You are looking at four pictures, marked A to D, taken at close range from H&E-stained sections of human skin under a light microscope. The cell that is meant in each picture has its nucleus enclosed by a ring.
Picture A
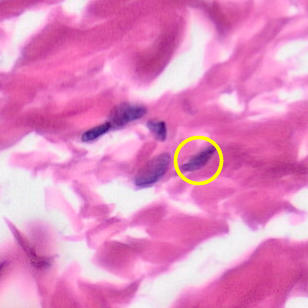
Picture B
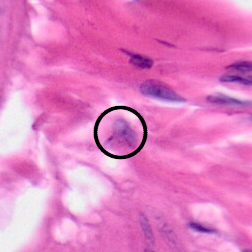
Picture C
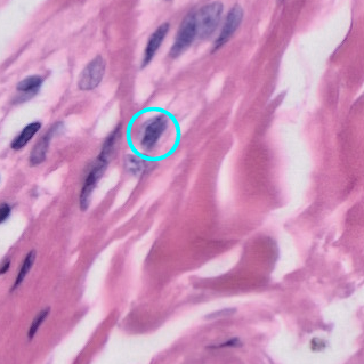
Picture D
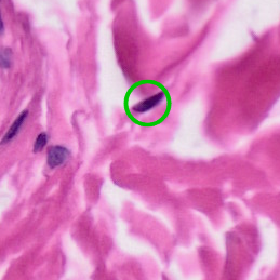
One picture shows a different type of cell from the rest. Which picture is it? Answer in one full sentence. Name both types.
Picture C differs, because its cell is an endothelial cell and the rest are fibroblasts.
